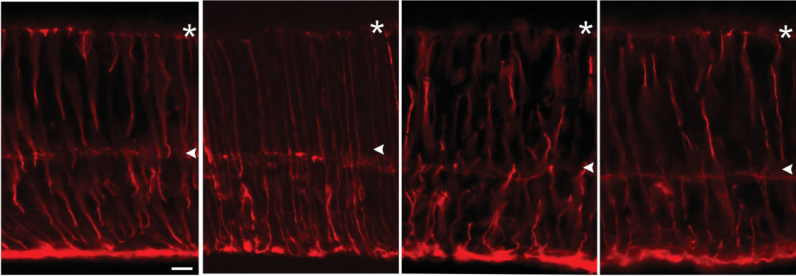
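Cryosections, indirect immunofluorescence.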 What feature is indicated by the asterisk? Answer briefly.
Membrana externa limitans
